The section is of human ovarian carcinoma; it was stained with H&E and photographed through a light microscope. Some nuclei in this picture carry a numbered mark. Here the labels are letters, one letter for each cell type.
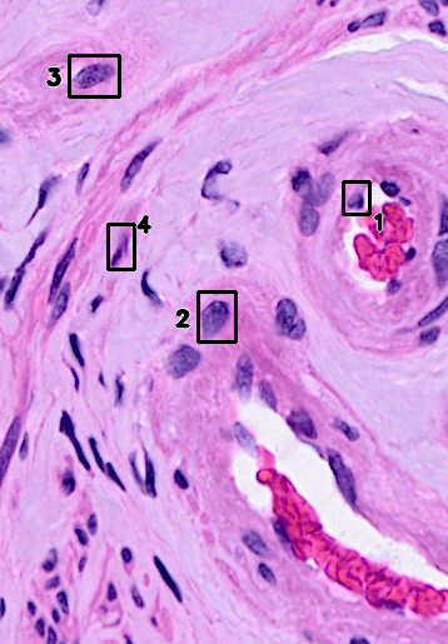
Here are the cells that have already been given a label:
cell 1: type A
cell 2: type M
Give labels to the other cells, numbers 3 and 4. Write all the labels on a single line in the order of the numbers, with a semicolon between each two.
type A; type M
